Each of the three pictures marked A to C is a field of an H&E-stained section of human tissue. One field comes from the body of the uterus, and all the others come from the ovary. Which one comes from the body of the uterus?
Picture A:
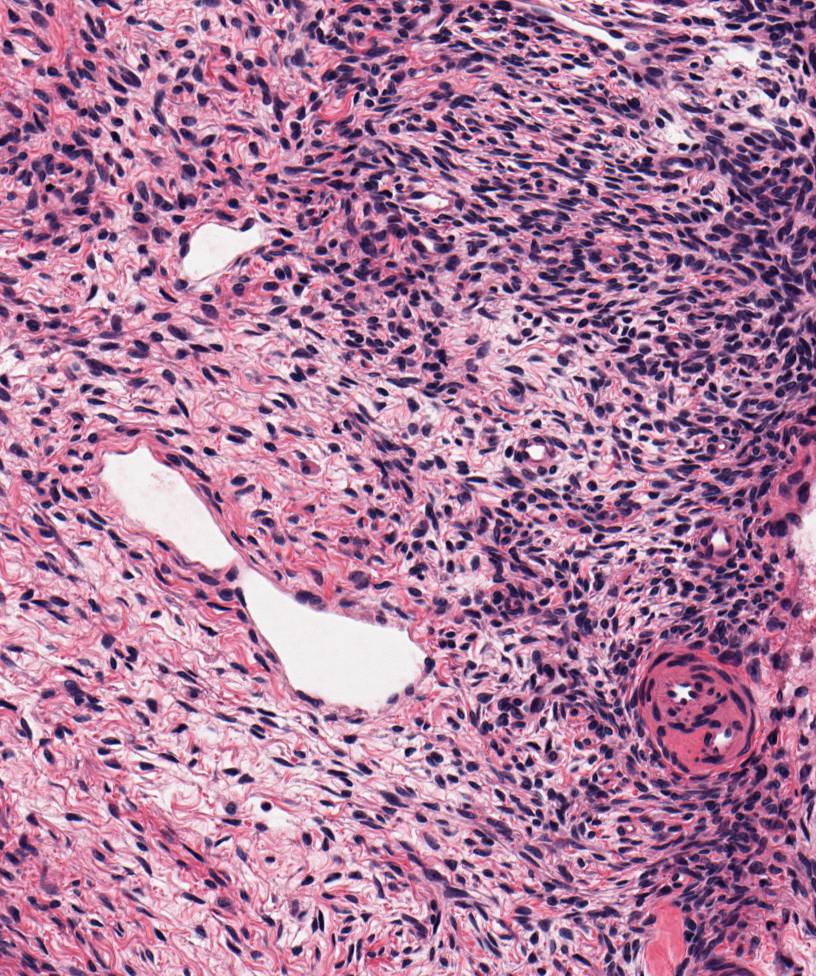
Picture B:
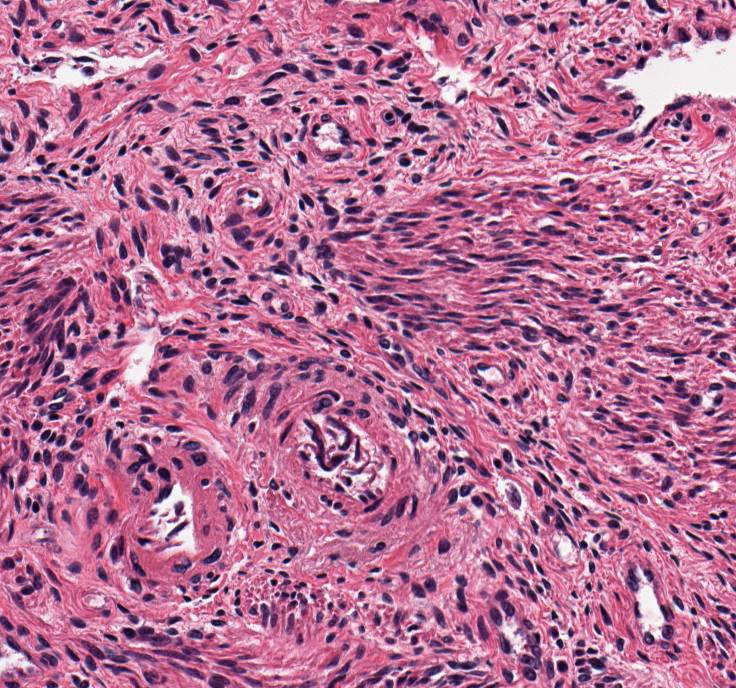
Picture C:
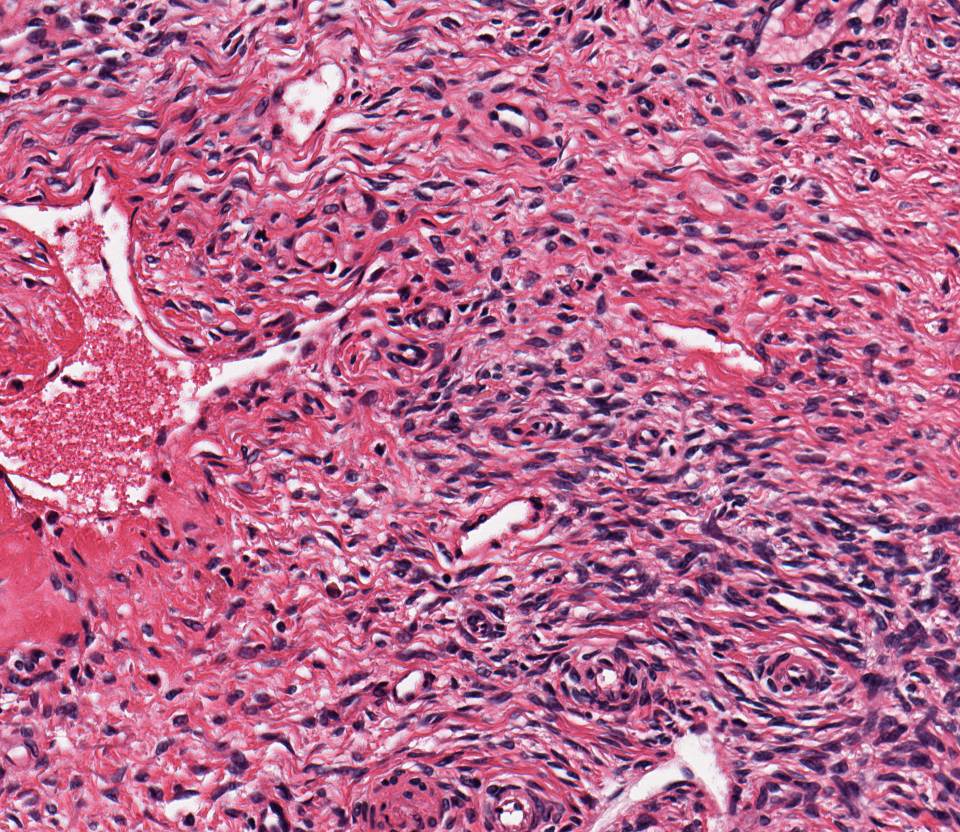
B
